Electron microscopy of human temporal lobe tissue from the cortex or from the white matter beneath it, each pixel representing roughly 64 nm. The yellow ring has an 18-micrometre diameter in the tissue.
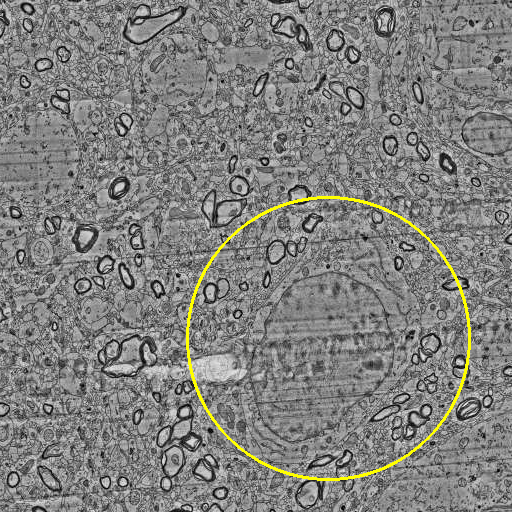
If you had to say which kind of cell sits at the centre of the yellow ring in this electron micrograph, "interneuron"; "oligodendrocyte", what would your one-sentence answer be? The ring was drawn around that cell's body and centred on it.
The cell sitting at the centre of the ring is an interneuron.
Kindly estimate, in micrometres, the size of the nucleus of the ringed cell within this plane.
About 11 micrometres by about 9 micrometres in this plane.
